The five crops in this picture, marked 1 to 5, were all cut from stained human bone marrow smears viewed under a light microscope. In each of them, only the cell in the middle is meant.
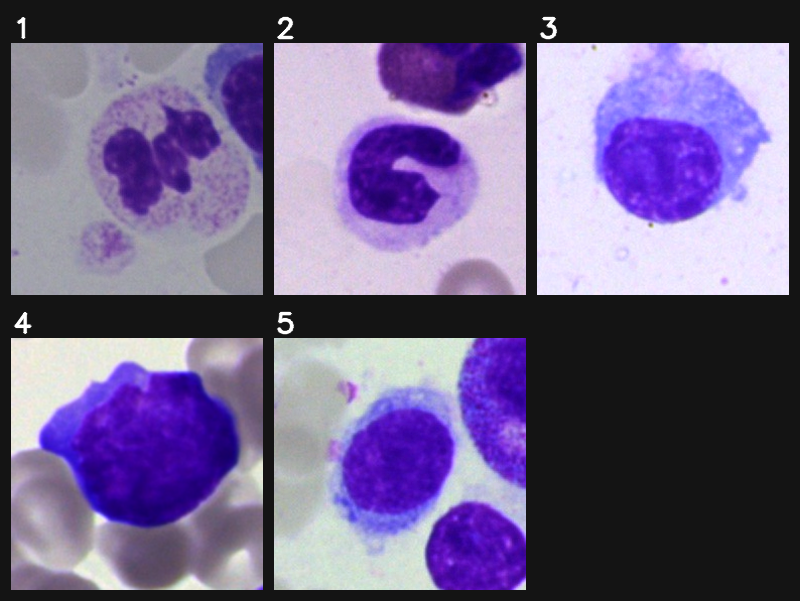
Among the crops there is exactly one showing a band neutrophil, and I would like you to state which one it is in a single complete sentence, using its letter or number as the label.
Of the labeled crops, the one with a band neutrophil is crop 2.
